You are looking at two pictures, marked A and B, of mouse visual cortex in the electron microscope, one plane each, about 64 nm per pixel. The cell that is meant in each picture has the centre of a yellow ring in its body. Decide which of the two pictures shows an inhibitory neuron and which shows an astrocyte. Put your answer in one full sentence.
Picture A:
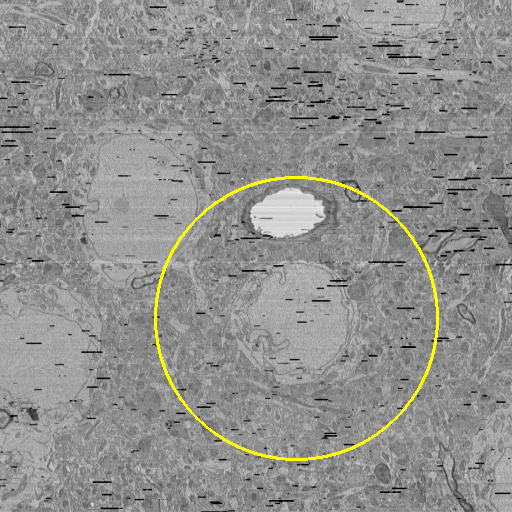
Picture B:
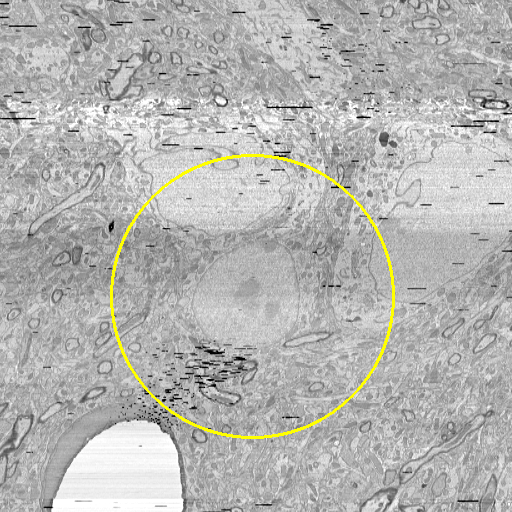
Picture A shows an inhibitory neuron and picture B shows an astrocyte.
